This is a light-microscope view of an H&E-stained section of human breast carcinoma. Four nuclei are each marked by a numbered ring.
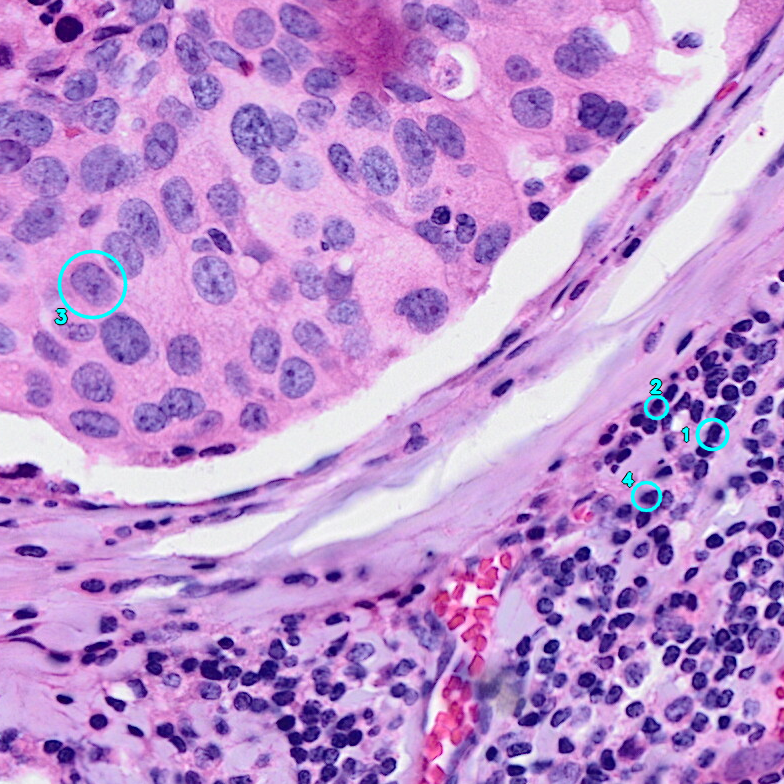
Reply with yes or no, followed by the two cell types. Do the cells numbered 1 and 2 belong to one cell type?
Yes, both are lymphocytes.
